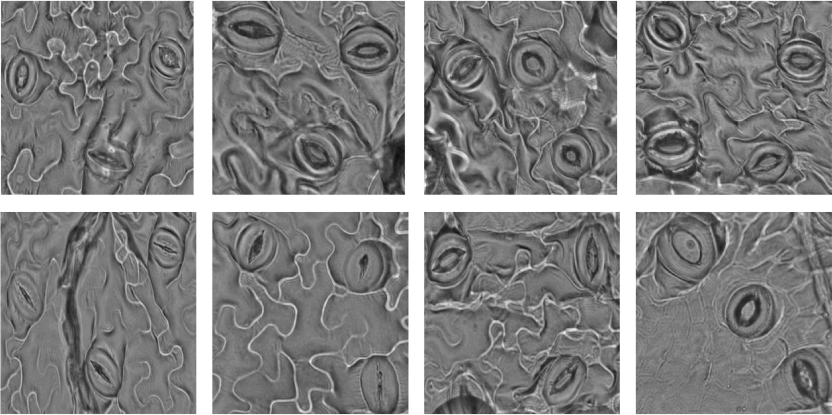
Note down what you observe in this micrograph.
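Eight square views of a leaf epidermis, in two rows of four, each showing several stomata set among pavement cells. The pavement cells have strongly wavy, interlocking jigsaw-like walls that stand out as raised ridges. Each stoma is an oval complex of two curved, kidney-shaped guard cells enclosing a central pore. In the lower row several pores are narrowed to thin slits, though in some tiles pores still appear fairly open. Stomata are scattered singly, not in rows, with several pavement cells between neighbouring stomata.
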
